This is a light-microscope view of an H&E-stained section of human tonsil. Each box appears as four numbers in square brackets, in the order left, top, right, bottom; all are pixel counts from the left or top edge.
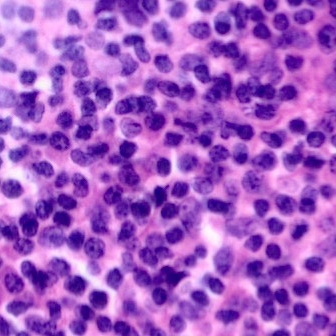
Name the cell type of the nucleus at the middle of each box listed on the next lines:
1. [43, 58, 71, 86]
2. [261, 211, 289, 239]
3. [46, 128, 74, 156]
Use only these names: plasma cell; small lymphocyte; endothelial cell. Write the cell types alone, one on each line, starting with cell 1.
small lymphocyte
small lymphocyte
plasma cell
